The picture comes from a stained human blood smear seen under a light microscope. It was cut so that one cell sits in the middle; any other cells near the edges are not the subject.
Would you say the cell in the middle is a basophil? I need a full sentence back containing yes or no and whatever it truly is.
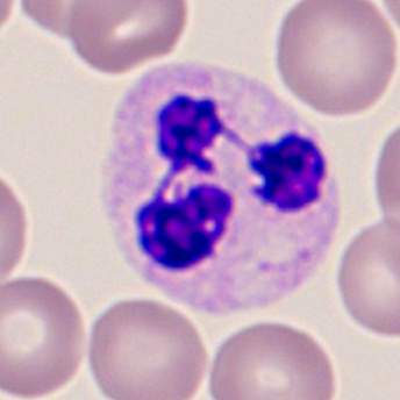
No, it is a segmented neutrophil and not a basophil that occupies the middle of the crop.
